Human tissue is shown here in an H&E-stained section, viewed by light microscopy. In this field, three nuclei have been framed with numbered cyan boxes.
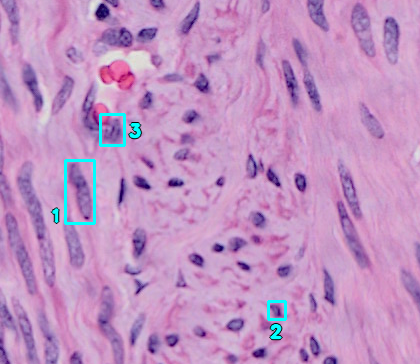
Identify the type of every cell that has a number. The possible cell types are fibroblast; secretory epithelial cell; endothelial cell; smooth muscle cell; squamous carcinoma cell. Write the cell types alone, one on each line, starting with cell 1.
smooth muscle cell
smooth muscle cell
endothelial cell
